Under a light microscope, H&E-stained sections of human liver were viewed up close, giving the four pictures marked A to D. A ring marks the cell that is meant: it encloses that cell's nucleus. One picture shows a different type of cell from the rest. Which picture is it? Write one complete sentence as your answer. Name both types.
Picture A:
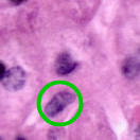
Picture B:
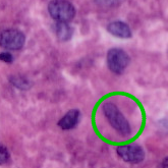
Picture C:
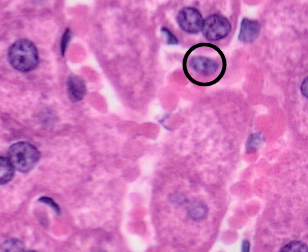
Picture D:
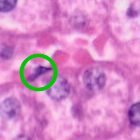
The different one is picture D; it shows an endothelial cell, whereas all the others show Kupffer cells.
